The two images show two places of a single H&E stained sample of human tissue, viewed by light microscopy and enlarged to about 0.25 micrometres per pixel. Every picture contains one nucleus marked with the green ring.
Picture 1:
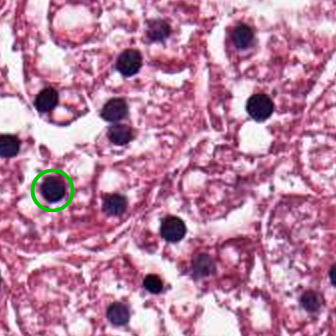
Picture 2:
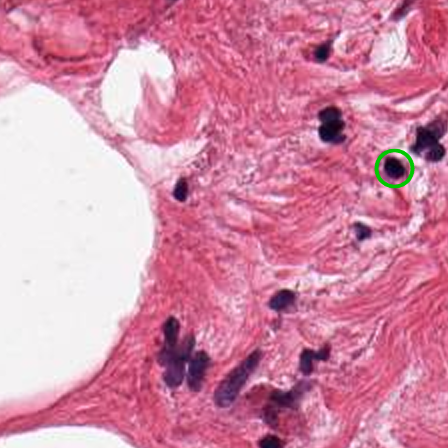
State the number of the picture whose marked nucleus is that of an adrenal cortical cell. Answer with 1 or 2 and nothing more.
1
